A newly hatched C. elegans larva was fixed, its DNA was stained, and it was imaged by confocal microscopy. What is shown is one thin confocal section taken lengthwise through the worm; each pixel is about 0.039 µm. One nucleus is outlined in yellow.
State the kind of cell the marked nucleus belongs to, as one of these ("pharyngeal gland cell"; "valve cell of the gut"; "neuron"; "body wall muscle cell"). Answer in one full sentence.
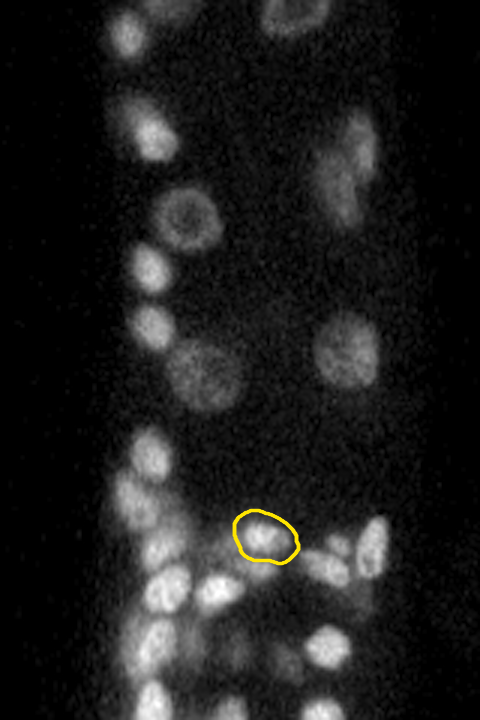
This nucleus is from a valve cell of the gut.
